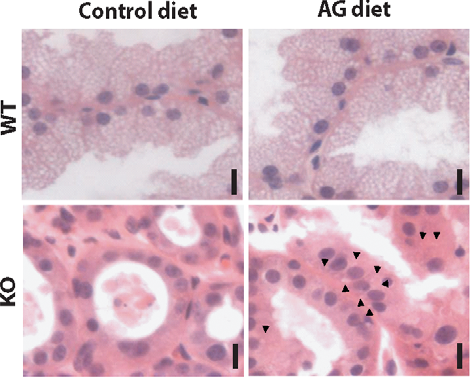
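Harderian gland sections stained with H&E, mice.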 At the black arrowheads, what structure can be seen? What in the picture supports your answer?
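Small lipid inclusions. The vacuoles are much smaller than the nuclei.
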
